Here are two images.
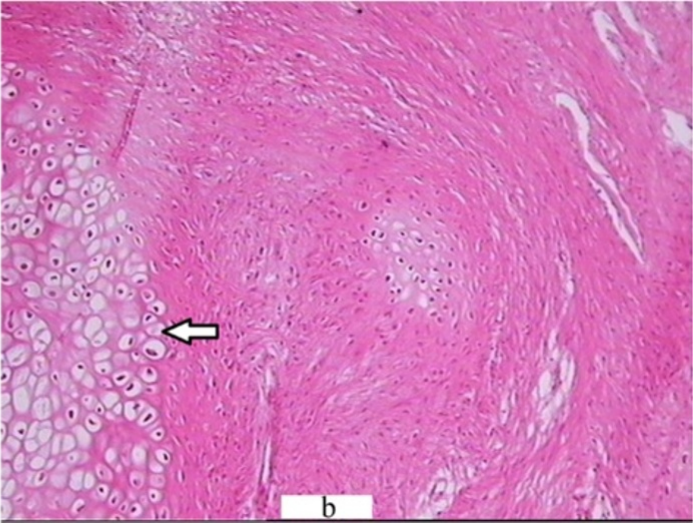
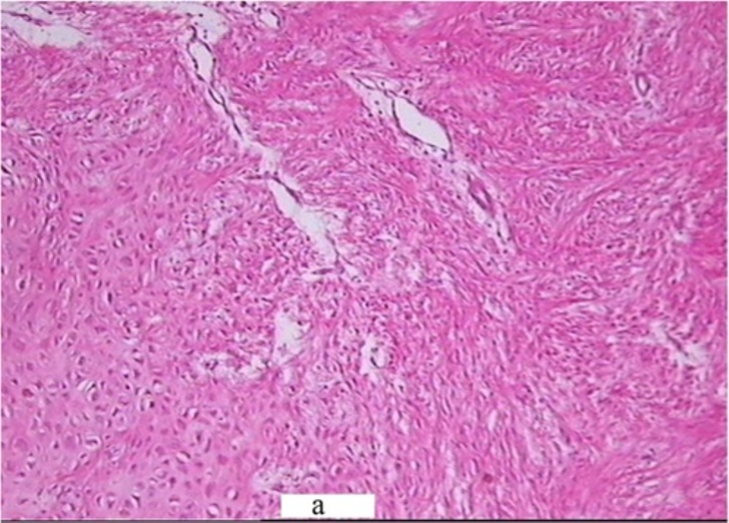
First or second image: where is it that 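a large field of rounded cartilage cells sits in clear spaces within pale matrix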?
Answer: the first image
